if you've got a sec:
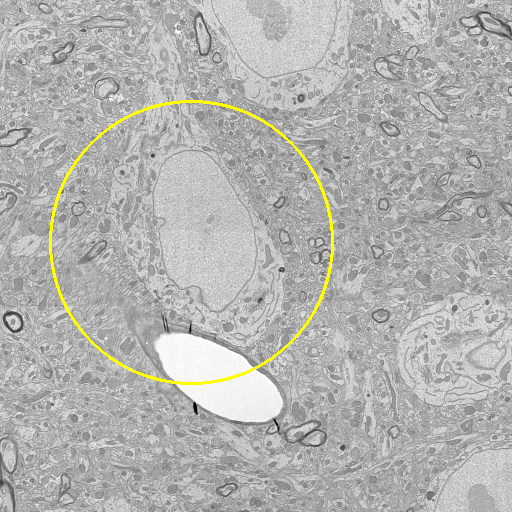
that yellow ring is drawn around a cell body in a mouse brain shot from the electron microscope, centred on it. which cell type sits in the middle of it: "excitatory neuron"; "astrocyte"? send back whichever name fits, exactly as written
excitatory neuron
